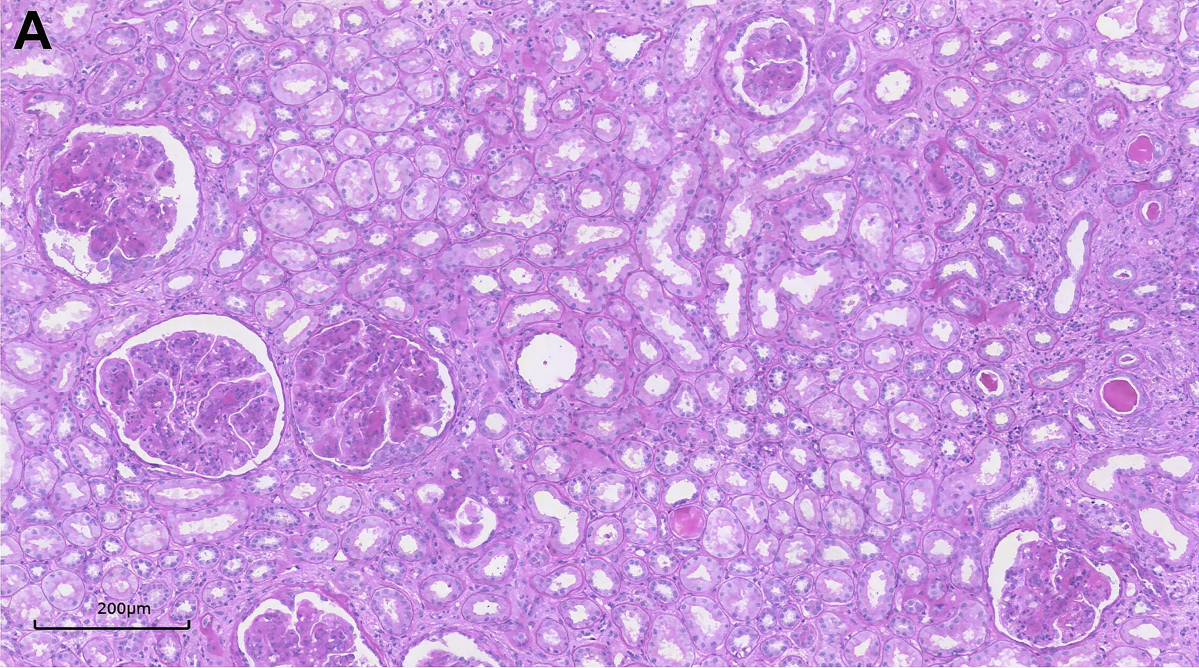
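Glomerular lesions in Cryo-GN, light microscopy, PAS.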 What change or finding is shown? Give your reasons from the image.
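Several glomeruli are enlarged, lobulated and densely cellular. Glomerular tufts are darker and more crowded than the surrounding tubules.
Membranoproliferative glomerulonephritis.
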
